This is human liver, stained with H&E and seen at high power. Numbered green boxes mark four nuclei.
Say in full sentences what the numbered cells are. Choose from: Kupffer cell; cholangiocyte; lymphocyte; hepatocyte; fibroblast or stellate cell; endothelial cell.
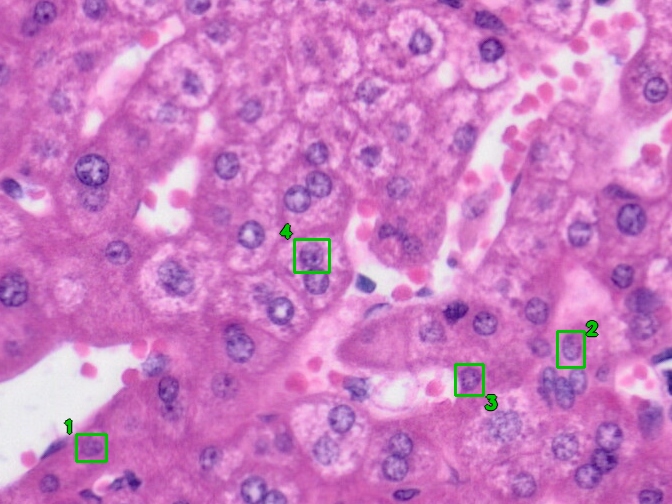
Cell 1 is a hepatocyte, cell 2 is a cholangiocyte, cell 3 is a hepatocyte and cell 4 is a hepatocyte.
